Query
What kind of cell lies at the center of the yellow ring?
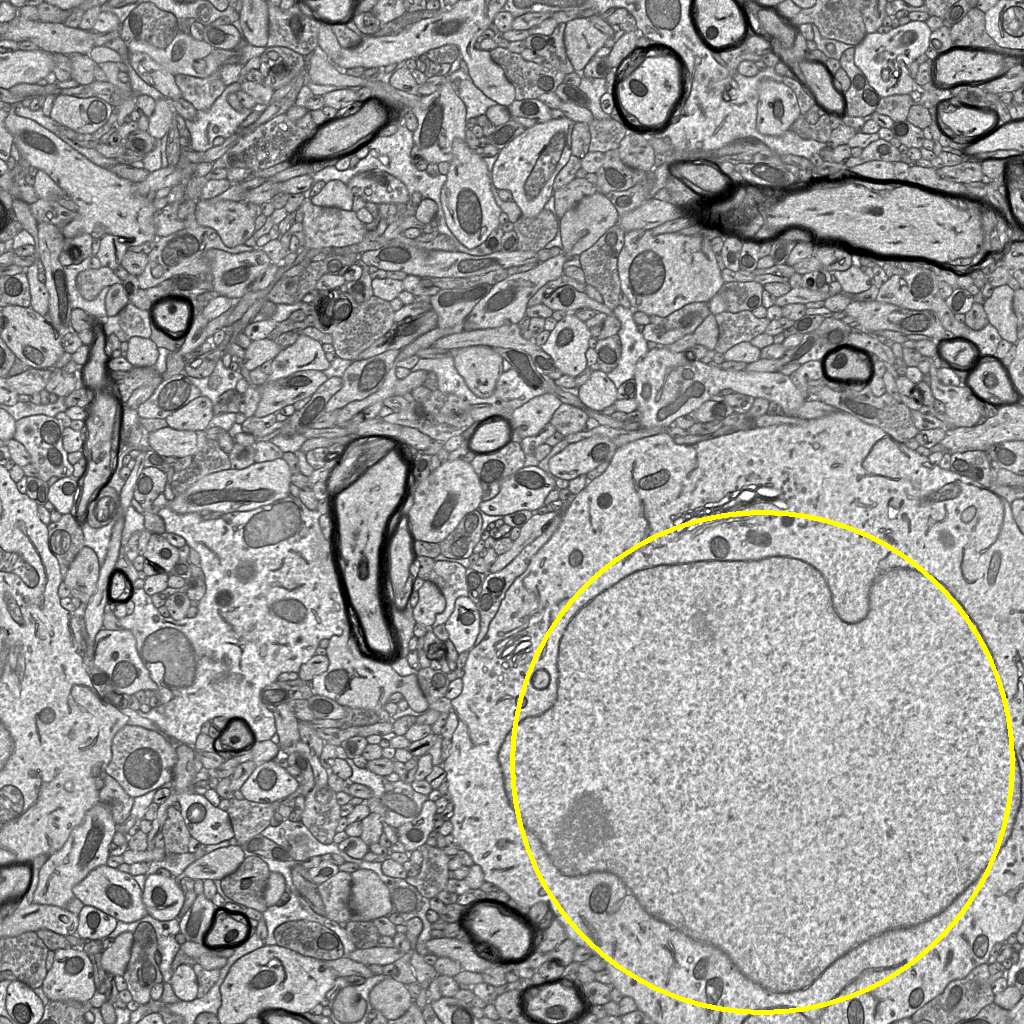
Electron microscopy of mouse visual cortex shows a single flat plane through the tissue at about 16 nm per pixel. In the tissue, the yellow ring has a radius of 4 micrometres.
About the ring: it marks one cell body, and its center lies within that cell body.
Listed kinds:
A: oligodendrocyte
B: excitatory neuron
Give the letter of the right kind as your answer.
B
